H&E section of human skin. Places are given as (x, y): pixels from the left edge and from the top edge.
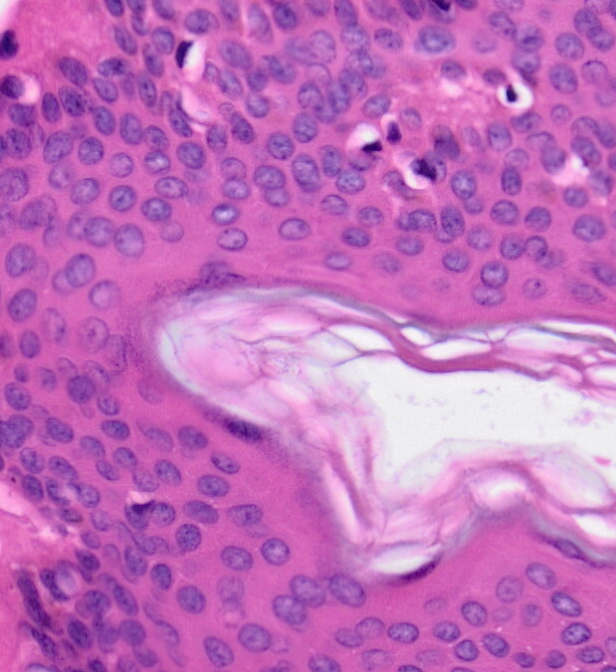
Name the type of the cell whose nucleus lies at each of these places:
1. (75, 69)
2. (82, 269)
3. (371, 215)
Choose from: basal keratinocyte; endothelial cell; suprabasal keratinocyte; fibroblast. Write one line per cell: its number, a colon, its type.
1: basal keratinocyte
2: suprabasal keratinocyte
3: suprabasal keratinocyte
